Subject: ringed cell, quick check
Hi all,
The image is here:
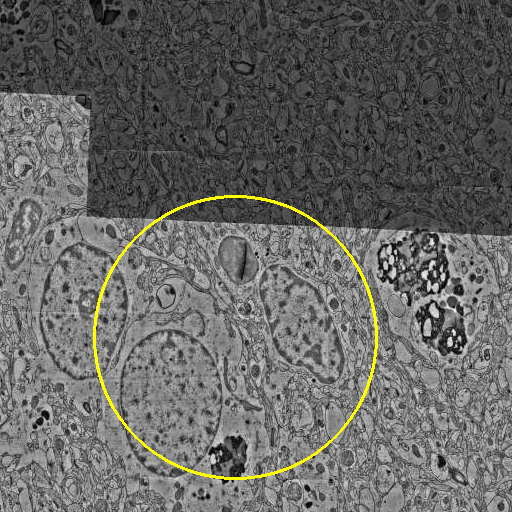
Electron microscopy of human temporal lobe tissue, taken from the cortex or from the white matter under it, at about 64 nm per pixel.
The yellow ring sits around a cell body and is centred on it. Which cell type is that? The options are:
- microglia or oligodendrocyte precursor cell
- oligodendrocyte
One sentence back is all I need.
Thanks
That ringed cell is a microglial cell or oligodendrocyte precursor cell.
